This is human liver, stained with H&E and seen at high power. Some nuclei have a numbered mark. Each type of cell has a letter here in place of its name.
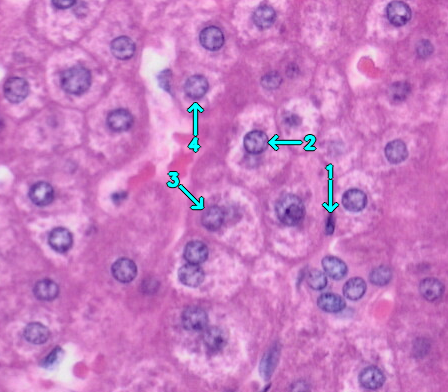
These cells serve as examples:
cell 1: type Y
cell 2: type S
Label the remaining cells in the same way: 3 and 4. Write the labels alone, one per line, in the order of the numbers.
type S
type S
